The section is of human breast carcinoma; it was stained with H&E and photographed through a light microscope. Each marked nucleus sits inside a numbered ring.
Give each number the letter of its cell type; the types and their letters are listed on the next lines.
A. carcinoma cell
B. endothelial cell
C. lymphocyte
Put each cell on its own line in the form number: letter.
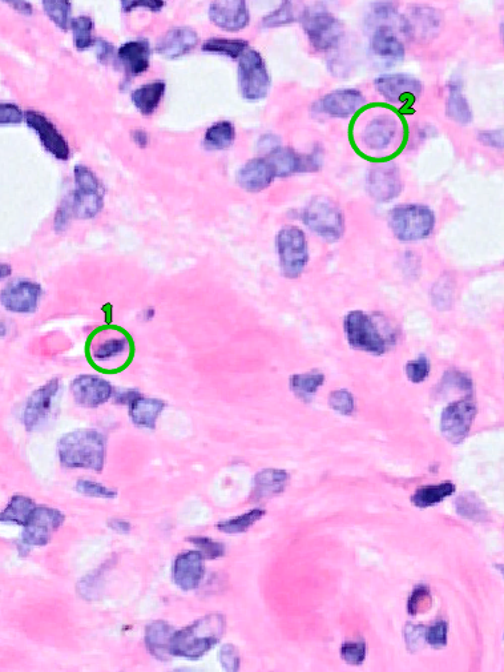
1: B
2: A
